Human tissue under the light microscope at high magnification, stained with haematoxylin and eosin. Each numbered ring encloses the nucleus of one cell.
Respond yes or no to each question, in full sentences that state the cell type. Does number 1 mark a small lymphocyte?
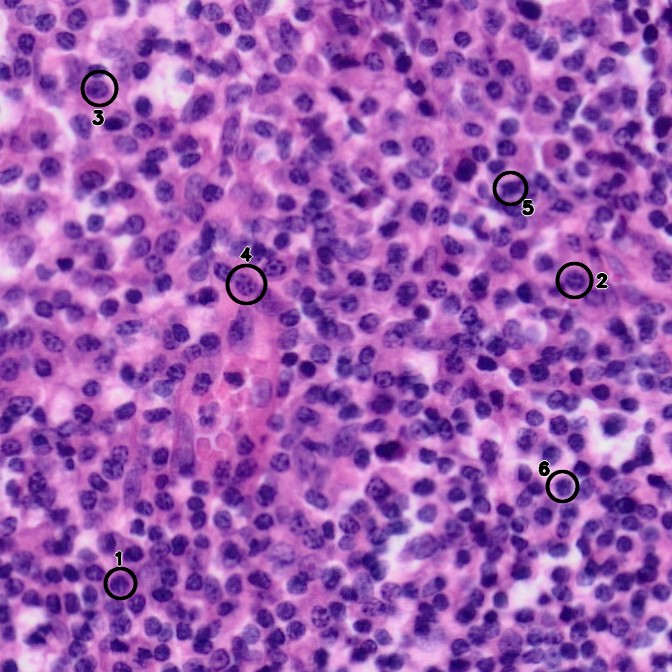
No, cell 1 is not a small lymphocyte, but is instead a plasma cell.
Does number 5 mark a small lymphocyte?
Yes, and to answer plainly, cell 5 is a small lymphocyte.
